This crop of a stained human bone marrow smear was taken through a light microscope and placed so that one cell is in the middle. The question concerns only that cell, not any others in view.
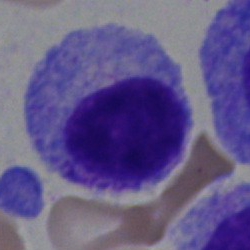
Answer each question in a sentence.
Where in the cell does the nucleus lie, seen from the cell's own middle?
Toward the lower right of the cell lies its nucleus.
